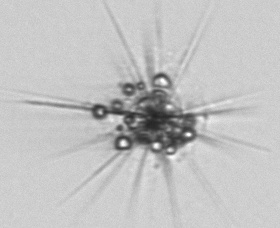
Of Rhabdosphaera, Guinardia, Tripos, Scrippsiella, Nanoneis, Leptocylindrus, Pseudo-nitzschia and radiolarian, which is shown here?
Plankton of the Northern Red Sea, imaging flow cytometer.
radiolarian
